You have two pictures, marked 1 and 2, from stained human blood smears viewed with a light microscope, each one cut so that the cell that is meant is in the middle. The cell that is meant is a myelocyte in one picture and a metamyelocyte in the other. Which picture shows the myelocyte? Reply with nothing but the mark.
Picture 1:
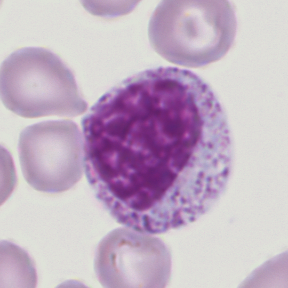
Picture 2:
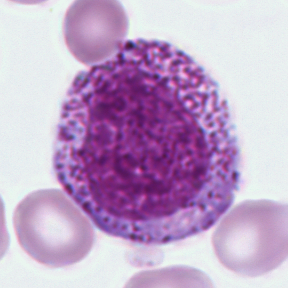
2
